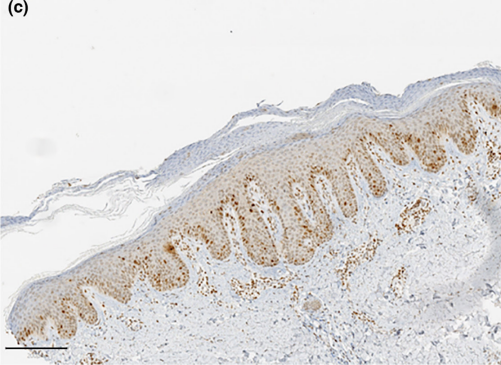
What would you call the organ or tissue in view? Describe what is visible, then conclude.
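Thickened epidermis with many elongated, evenly spaced rete ridges. Thin dermal papillae between the ridges. Layered surface scale lifting off at top.
Psoriatic lesional skin.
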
